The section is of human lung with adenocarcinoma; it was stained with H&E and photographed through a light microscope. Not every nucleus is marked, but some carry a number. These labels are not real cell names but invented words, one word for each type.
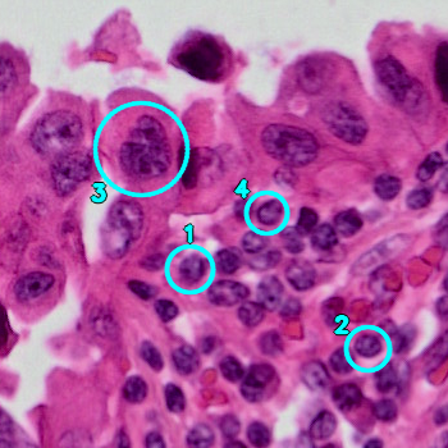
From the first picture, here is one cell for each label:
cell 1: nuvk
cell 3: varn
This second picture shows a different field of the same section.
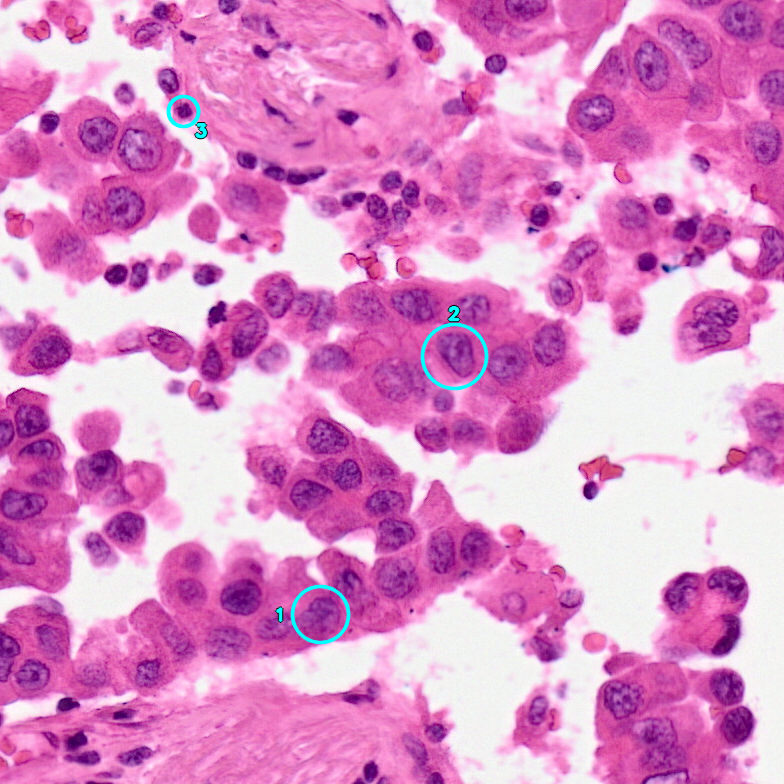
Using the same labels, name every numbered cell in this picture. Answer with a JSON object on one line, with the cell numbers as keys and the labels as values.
{"1": "varn", "2": "varn", "3": "nuvk"}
